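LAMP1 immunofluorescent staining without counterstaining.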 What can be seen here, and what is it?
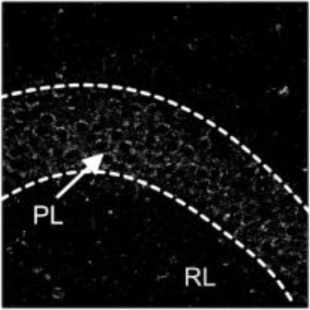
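This is the hippocampus with its pyramidal layer, a curved band of tightly packed neuronal cell bodies lying between two dashed lines, and the radial layer below it. In the band each cell body appears as a dark, unstained centre ringed by fine bright dots, so the somata stand out as closely set round outlines. Beyond the band, in the radial layer, the tissue is much darker with only scattered small bright dots and no such rings.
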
